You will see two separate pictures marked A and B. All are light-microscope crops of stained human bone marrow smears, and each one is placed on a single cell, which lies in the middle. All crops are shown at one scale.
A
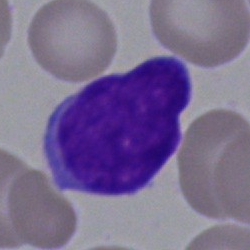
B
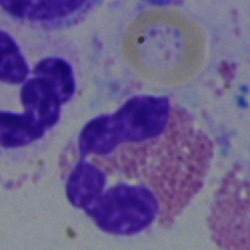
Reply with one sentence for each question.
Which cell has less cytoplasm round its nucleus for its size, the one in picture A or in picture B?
The nucleus fills more of the cell in picture A than in picture B.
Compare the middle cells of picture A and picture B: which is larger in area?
The cell in picture A is larger, with about 2.5 times the area of the one in picture B.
